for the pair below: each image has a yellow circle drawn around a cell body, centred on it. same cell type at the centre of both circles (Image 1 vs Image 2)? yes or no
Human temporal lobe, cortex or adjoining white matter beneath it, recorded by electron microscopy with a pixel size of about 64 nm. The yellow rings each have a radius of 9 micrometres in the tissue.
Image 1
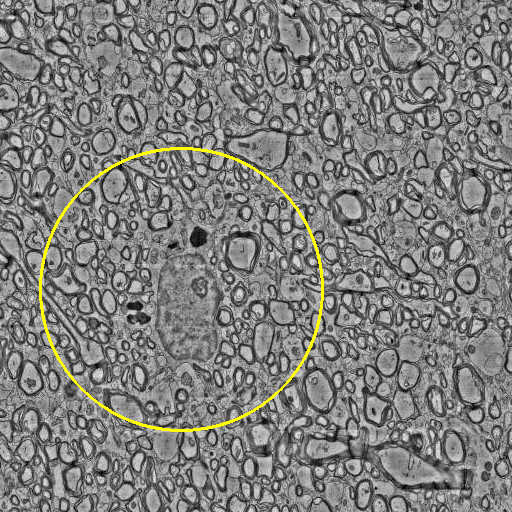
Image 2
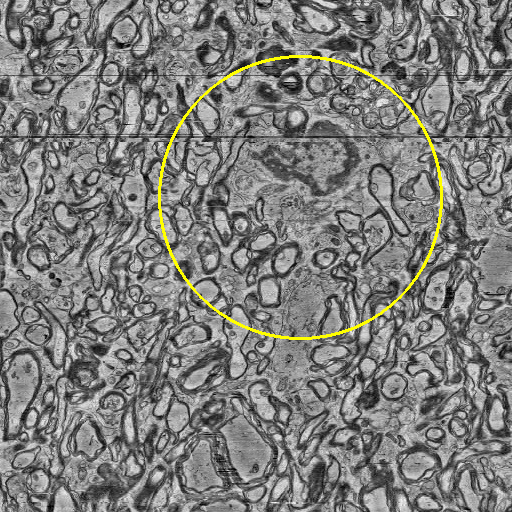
no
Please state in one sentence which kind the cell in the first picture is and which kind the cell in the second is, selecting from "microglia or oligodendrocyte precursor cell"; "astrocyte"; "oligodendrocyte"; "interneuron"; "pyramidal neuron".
The first ringed cell is an oligodendrocyte, the second ringed cell a microglial cell or oligodendrocyte precursor cell.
